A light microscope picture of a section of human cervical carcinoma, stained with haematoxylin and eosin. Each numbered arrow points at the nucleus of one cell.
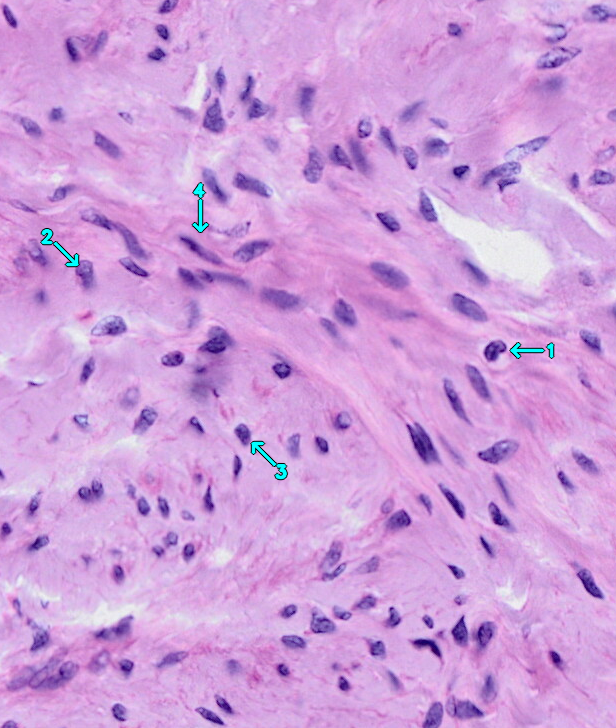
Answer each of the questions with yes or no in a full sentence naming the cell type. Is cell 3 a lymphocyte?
No, rather than a lymphocyte, cell number 3 is a fibroblast.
